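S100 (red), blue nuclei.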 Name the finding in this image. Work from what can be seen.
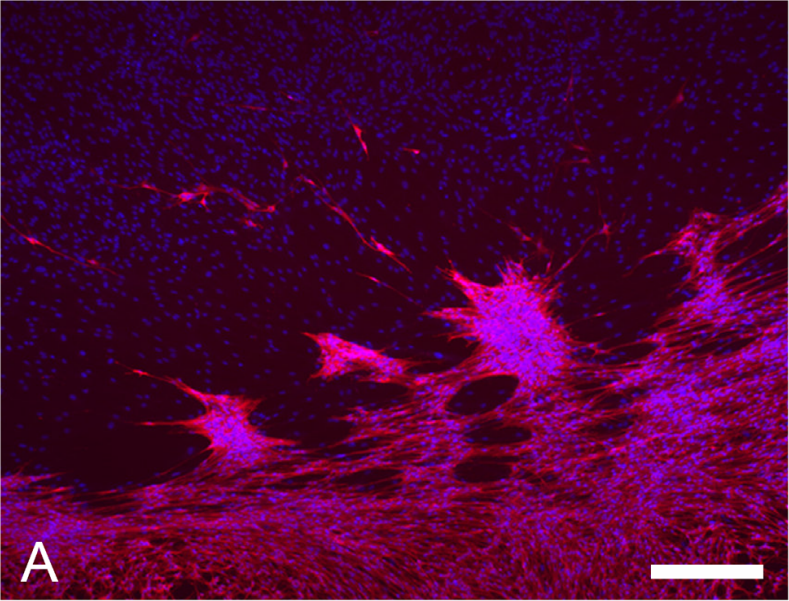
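Cluster-like aggregates. Red cells gather into dense, star-shaped clumps that project upward from the lower sheet. Processes radiate outward from the clumps.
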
